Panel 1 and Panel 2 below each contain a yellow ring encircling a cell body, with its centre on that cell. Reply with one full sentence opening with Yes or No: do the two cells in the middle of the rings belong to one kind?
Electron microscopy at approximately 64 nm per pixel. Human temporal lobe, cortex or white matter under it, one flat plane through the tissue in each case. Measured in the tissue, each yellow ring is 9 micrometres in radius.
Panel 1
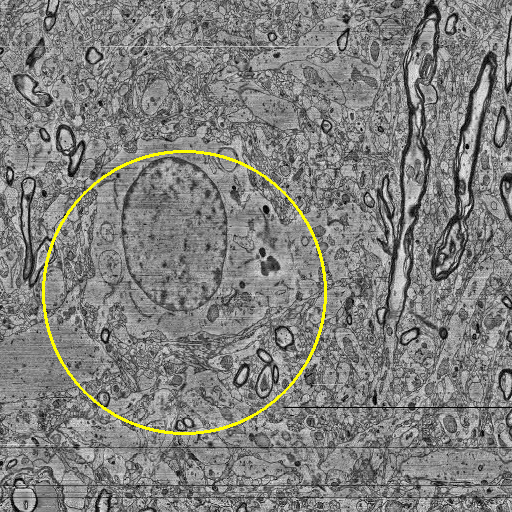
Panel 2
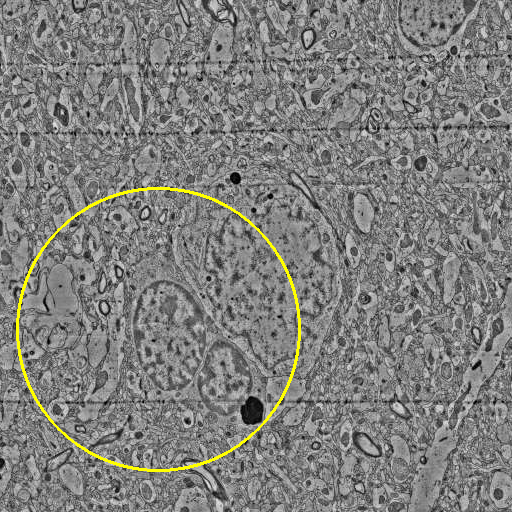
No, the cells at the middle of the Panel 1 ring and the Panel 2 ring are of two kinds.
